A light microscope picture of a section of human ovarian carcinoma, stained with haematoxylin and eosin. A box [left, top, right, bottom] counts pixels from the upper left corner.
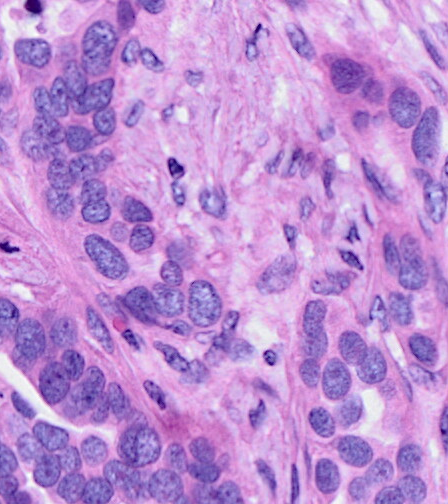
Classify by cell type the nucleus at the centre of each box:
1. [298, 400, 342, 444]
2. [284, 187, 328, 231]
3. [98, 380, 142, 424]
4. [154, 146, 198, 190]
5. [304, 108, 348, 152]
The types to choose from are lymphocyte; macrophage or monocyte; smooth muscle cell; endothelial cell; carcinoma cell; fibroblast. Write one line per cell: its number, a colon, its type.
1: carcinoma cell
2: fibroblast
3: carcinoma cell
4: lymphocyte
5: fibroblast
